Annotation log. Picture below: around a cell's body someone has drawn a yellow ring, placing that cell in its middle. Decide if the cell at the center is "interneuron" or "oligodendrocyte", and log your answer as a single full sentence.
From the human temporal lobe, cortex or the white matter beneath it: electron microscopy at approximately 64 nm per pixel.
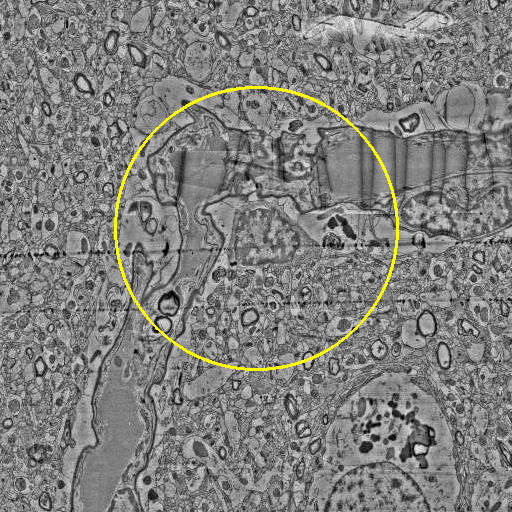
My entry records an oligodendrocyte as the cell sitting at the center of the yellow ring.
